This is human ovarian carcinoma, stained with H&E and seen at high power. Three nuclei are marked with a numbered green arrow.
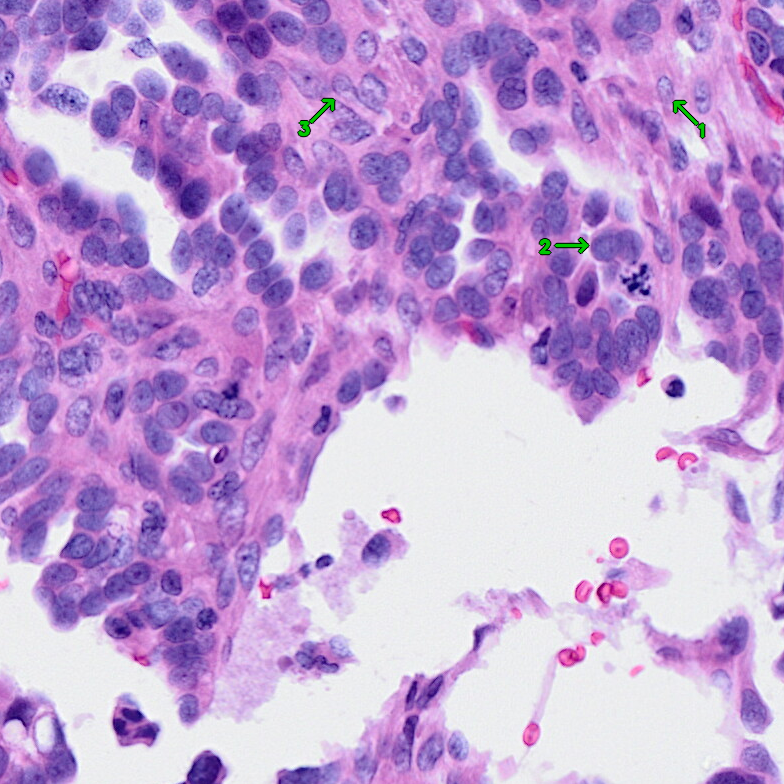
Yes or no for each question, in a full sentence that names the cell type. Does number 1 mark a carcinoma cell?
No, cell 1 is not a carcinoma cell; it is a fibroblast.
